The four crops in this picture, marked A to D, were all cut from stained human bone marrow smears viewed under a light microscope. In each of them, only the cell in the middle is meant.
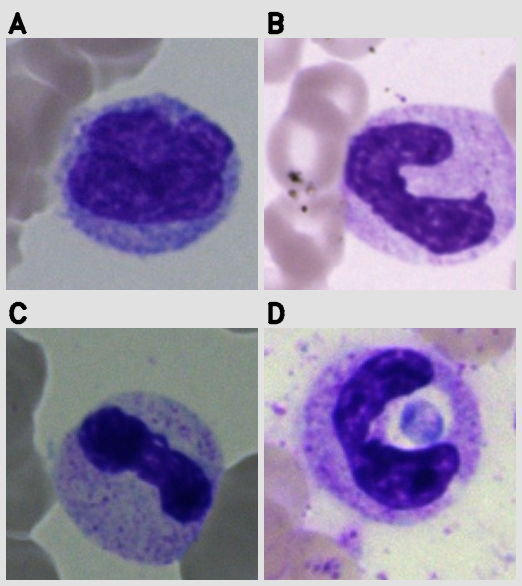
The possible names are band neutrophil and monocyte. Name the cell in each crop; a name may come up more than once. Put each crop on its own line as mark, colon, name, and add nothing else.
A: monocyte
B: band neutrophil
C: band neutrophil
D: band neutrophil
